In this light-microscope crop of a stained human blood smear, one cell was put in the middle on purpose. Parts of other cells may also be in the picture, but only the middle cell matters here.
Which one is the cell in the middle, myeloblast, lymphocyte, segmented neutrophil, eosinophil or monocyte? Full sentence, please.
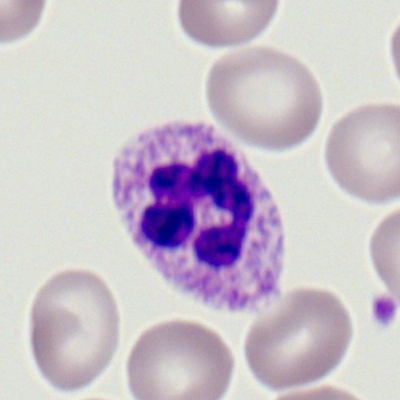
Within this crop, a segmented neutrophil occupies the central position.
